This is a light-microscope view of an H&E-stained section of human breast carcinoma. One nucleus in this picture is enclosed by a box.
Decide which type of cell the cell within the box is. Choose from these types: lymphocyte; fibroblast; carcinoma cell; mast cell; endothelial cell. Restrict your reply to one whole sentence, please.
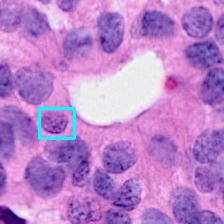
The category to which the cell within the box belongs is that of a carcinoma cell.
